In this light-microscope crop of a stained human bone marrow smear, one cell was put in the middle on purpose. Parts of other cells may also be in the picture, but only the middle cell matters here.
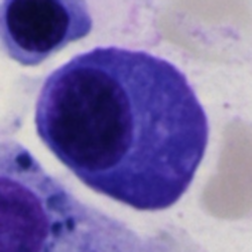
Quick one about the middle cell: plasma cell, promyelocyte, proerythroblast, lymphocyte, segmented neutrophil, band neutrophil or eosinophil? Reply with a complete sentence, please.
At the center of the crop sits a plasma cell.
